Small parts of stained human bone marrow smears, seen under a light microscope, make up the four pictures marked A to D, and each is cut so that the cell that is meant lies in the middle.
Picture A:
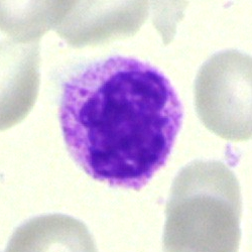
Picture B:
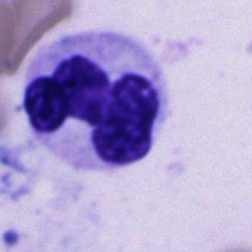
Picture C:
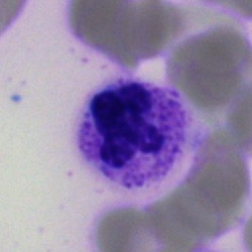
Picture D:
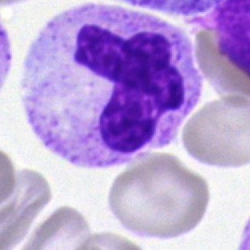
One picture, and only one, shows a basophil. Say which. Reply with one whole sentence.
Picture A shows the basophil.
